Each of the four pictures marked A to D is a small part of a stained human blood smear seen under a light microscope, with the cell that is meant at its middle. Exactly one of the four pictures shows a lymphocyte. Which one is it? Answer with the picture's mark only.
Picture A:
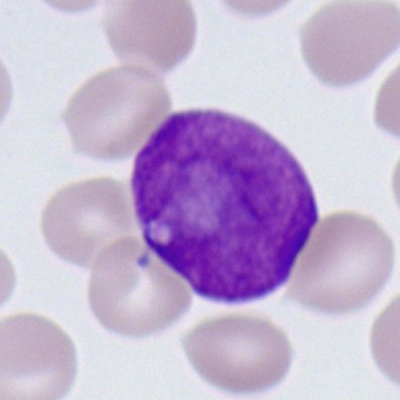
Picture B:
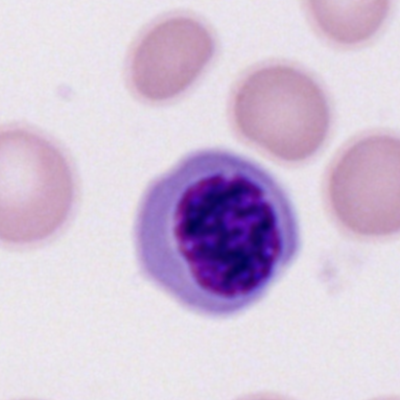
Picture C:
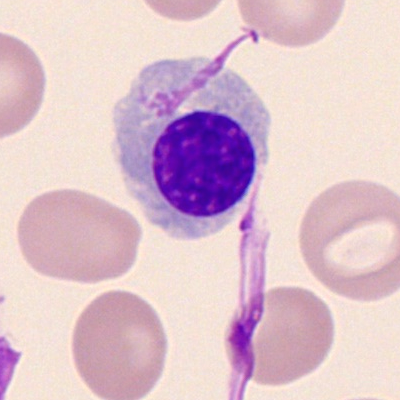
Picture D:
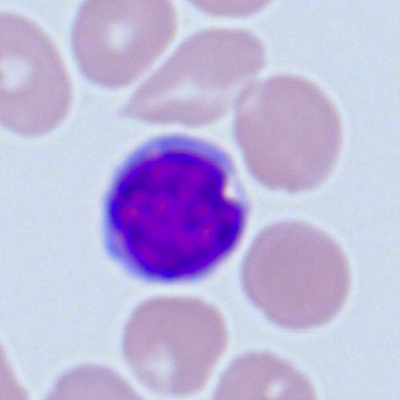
D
